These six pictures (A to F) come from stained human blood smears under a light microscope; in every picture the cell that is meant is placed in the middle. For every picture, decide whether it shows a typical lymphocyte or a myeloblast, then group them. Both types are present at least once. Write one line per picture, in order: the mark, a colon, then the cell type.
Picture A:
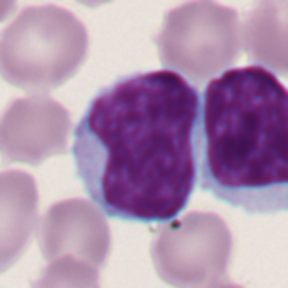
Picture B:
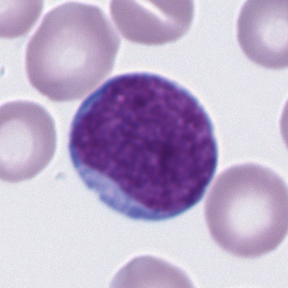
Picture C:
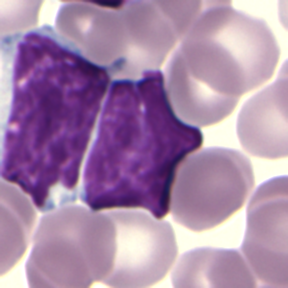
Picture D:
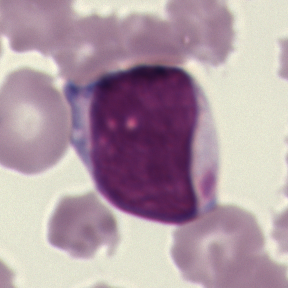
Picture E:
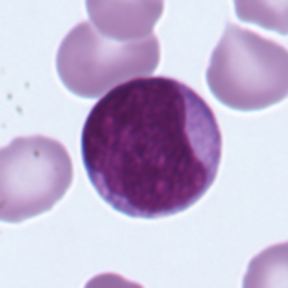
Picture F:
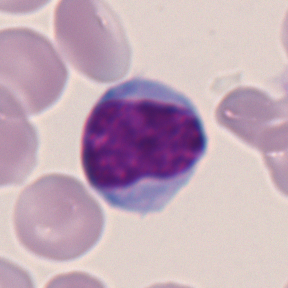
A: typical lymphocyte
B: myeloblast
C: typical lymphocyte
D: myeloblast
E: myeloblast
F: typical lymphocyte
